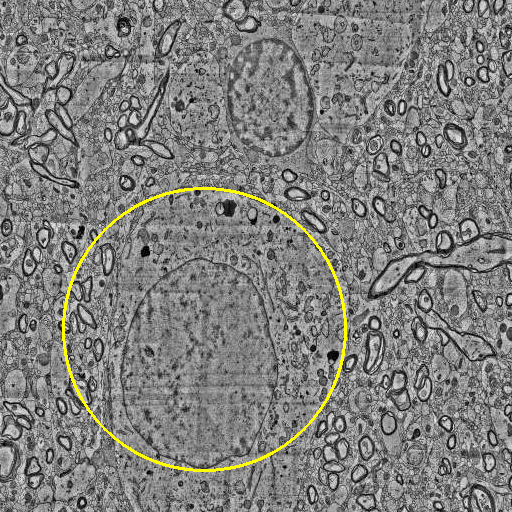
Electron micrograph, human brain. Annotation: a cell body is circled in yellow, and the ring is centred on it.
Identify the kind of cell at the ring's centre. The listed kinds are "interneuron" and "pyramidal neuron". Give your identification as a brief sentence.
The circled cell body is that of a pyramidal neuron.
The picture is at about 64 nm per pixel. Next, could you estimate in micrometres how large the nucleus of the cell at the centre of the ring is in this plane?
Approximately 13 micrometres long and 10 micrometres wide, in this plane.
